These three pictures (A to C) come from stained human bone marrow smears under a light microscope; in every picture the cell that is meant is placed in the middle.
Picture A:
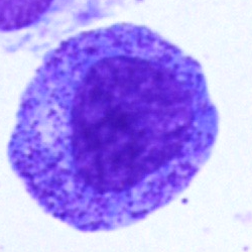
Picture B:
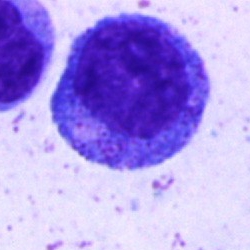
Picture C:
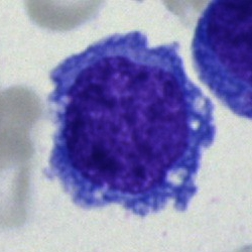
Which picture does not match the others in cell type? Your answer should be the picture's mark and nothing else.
C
